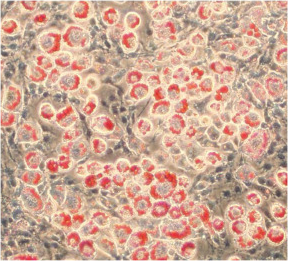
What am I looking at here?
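This is a culture of differentiated fat cells, in which many cells have accumulated lipid. A large share of the cells have rounded up and their cytoplasm is packed with red-stained droplets, often arranged around a paler central area. These lipid-laden cells lie in groups across the field. Between them are flatter, elongated cells with darker nuclei that carry little or no red stain, so not every cell in the dish has filled with lipid.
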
